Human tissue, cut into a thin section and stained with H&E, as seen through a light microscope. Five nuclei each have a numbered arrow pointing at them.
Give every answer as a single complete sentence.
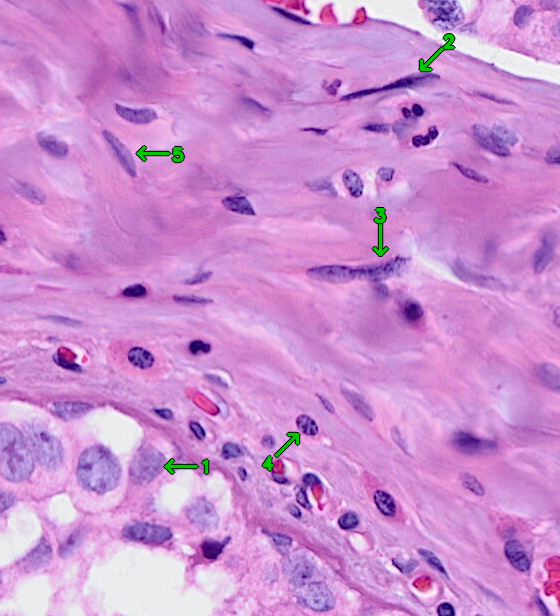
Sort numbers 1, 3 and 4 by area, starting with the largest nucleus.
From largest to smallest, the order is 1, 3, 4.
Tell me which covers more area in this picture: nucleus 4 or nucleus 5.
At about 1.5 times the area of nucleus 4, nucleus 5 is the larger of the two.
